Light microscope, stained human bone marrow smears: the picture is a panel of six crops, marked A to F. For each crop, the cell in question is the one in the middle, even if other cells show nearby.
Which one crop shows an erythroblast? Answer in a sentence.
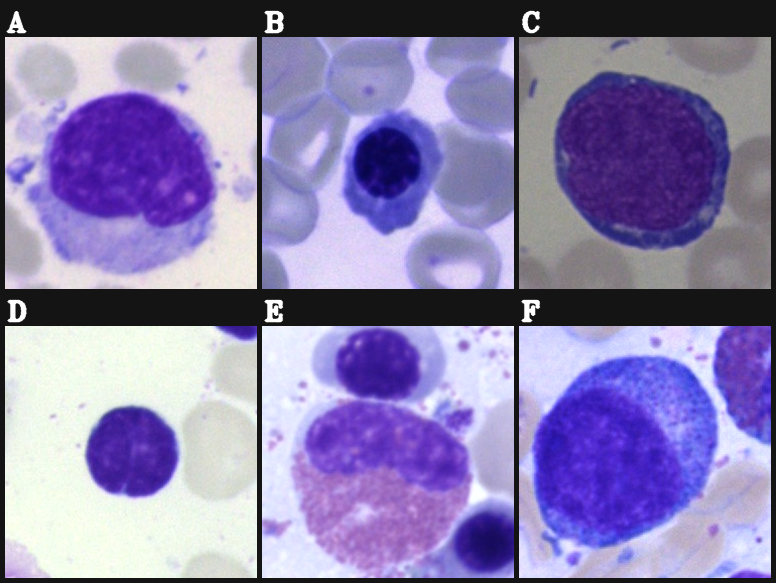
The crop with an erythroblast at its center is crop B.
